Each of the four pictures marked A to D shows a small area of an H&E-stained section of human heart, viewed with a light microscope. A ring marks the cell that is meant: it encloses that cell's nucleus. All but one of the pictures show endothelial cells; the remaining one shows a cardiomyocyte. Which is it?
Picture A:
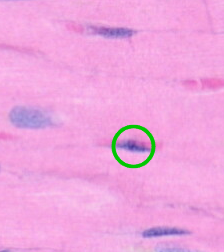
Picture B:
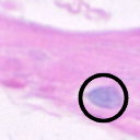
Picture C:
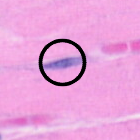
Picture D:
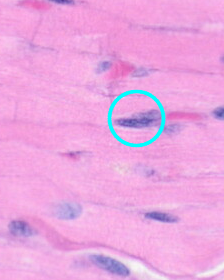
B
